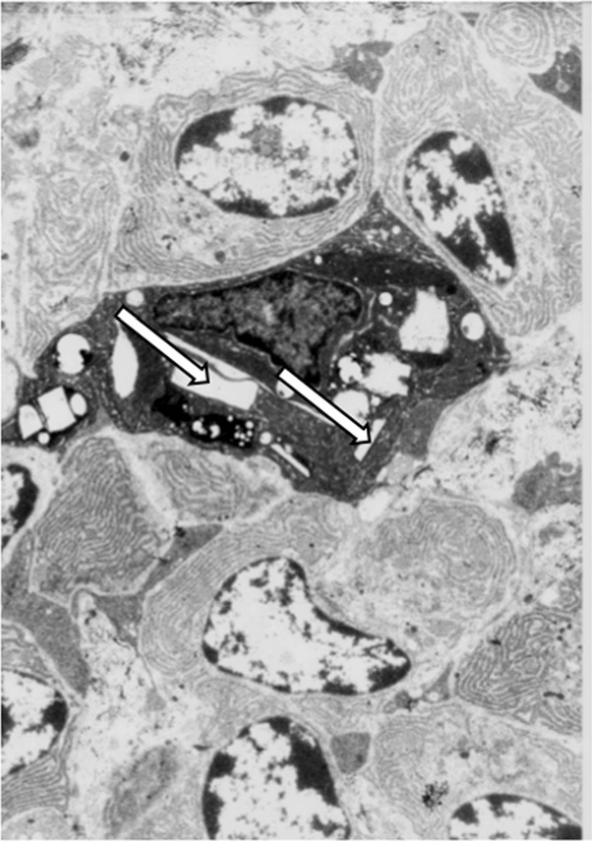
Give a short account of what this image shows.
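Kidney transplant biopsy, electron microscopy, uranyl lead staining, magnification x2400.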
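Among pale cells with oval nuclei and abundant lamellar cytoplasmic membranes lies an irregular, elongated dark cell with a dense nucleus and cytoplasm crowded with vacuoles and inclusions. Within it are several angular, straight-edged electron-lucent clefts, some rectangular and some polygonal, alongside rounded empty vacuoles and a dark inclusion with small granules. The sharp-edged clefts are crystal imprints.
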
